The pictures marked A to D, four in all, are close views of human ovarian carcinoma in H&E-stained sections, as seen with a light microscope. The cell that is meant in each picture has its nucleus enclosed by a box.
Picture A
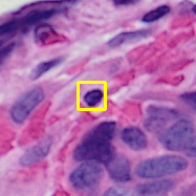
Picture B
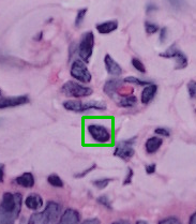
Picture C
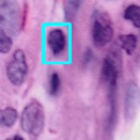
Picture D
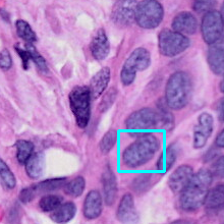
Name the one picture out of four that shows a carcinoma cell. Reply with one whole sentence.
The carcinoma cell is the one in picture D.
